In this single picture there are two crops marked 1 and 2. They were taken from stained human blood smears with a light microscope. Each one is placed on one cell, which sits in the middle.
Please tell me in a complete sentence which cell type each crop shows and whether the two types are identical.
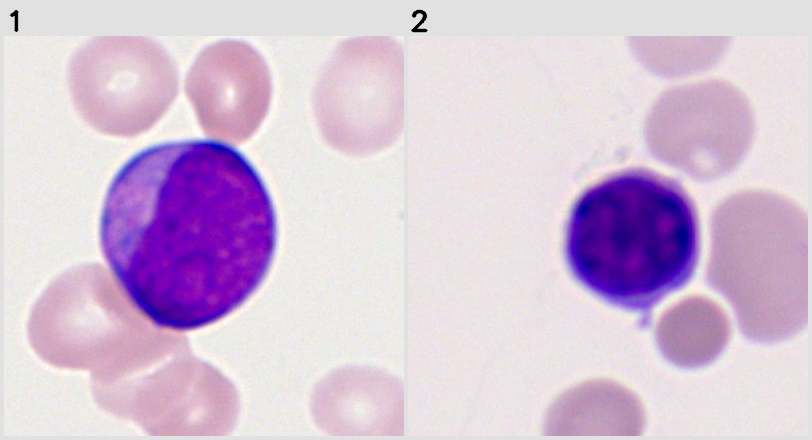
No, crop 1 carries a blast at its centre, and crop 2 carries a lymphocyte.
